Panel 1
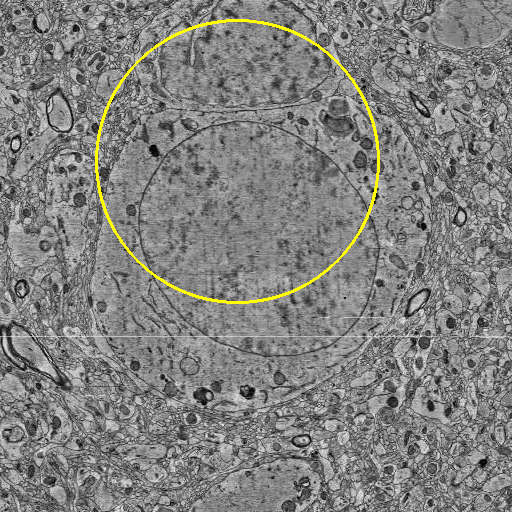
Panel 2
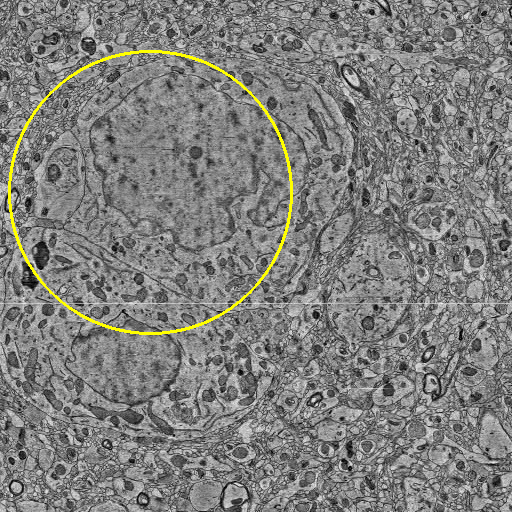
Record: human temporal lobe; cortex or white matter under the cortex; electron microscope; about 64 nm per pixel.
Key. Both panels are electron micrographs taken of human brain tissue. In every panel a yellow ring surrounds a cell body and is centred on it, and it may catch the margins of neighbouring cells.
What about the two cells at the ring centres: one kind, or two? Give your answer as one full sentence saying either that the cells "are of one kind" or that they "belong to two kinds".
Across Panels 1 and 2, the two cells at the ring centres belong to two kinds.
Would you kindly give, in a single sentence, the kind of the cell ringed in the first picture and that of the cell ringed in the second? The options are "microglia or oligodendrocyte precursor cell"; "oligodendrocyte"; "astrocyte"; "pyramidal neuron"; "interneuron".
The second cell is an interneuron, and the first cell is a pyramidal neuron.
